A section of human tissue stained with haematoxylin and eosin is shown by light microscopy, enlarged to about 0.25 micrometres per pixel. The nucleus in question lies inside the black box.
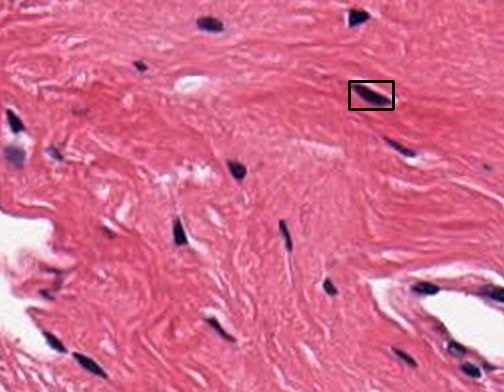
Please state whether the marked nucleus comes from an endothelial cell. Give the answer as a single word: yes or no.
no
